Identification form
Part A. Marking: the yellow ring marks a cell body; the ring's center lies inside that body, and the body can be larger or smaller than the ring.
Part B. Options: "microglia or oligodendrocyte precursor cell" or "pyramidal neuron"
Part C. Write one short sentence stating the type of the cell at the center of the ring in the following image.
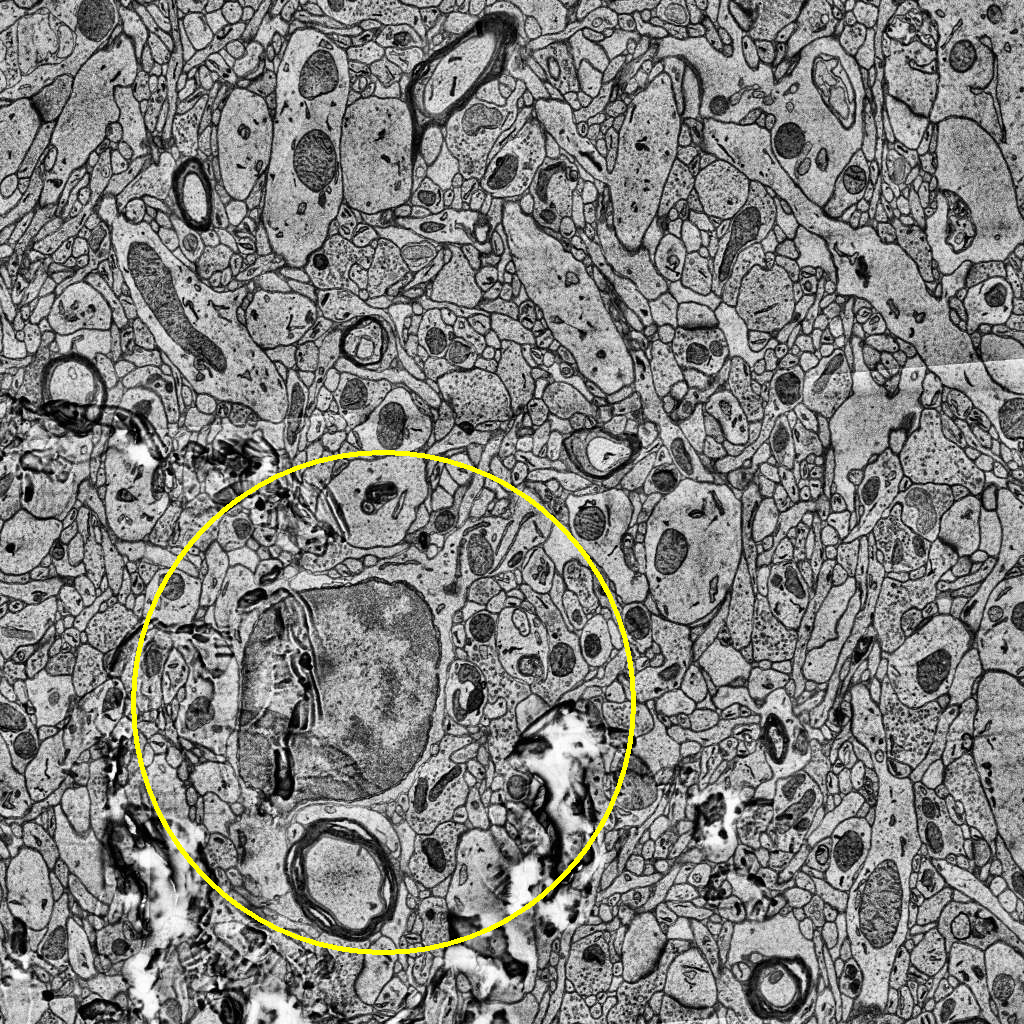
The center of the ring holds a microglial cell or oligodendrocyte precursor cell.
